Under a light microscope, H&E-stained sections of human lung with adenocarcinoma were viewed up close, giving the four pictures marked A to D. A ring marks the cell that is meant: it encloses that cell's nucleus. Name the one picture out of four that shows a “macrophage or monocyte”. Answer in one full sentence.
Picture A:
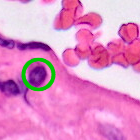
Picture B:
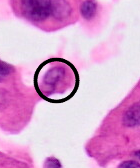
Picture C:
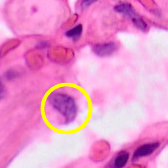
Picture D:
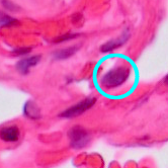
Picture B shows the “macrophage or monocyte”.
